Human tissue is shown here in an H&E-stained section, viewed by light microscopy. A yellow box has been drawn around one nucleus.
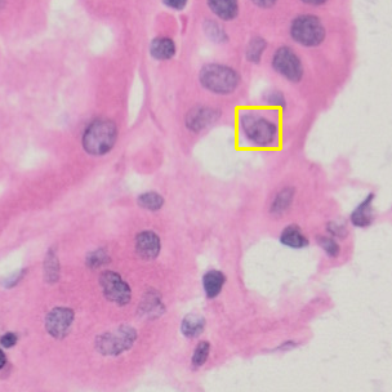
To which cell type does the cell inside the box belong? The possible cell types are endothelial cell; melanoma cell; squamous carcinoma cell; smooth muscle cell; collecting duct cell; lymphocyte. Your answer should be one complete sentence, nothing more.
In the context of this tissue, the cell inside the box is a collecting duct cell.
